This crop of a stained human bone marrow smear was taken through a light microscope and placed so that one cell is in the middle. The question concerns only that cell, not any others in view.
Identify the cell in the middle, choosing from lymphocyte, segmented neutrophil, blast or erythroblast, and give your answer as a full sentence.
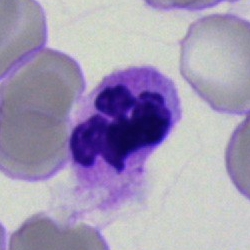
This crop has a segmented neutrophil at its centre.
